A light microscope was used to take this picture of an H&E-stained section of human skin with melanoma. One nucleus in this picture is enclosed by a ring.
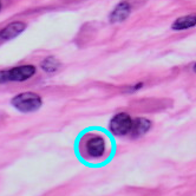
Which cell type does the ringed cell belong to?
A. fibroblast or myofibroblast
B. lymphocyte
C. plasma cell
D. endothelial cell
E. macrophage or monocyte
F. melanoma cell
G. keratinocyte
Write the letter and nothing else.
C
